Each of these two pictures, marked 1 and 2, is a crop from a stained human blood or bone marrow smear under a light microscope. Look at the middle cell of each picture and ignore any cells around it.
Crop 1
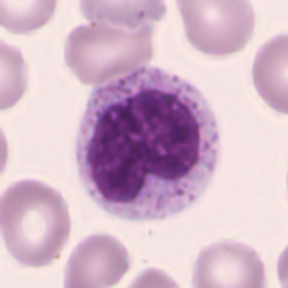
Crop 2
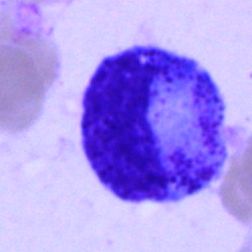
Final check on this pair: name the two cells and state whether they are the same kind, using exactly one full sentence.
Yes, metamyelocytes lie at the centre of both crops.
